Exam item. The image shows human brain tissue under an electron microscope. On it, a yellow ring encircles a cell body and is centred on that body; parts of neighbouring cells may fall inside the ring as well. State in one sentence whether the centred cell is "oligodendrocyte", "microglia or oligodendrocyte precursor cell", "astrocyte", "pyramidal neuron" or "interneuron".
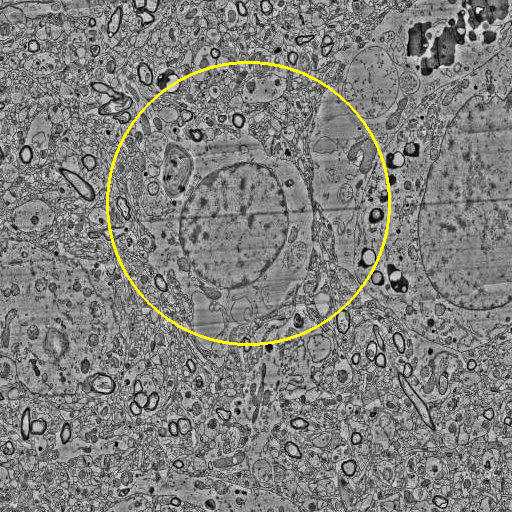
The cell body centred in the ring is an astrocyte.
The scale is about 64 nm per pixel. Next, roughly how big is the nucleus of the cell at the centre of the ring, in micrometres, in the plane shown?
In this plane, about 8 micrometres in length and 7 in width.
